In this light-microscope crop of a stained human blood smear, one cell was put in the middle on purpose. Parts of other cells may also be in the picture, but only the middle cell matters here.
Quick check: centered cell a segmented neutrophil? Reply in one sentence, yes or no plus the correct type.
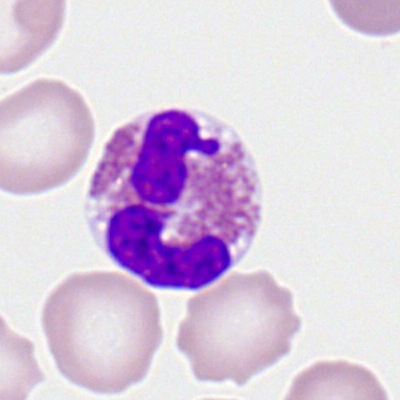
No, rather than being a segmented neutrophil, the central cell is an eosinophil.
